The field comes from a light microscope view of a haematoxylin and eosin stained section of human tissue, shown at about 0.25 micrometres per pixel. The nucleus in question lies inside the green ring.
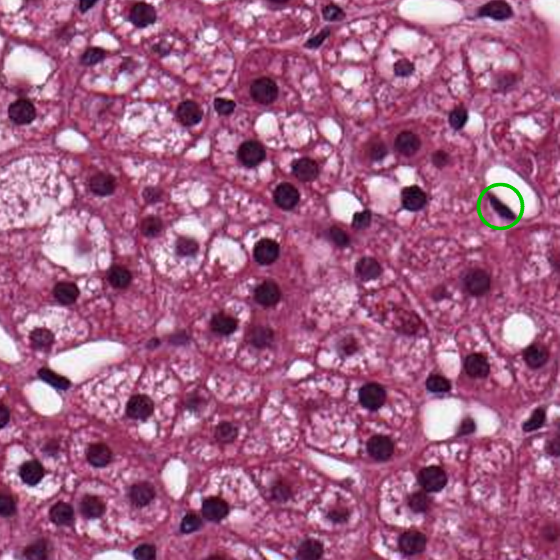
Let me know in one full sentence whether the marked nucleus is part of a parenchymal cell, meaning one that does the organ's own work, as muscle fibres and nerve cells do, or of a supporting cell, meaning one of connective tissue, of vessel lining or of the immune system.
The marked nucleus is located within a supporting cell.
